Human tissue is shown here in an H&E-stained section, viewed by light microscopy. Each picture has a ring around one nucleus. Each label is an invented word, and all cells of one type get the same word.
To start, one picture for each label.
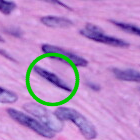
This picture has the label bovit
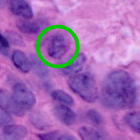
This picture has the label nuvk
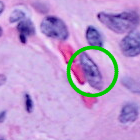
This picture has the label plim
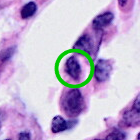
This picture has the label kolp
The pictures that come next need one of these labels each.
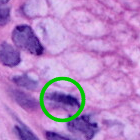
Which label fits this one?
nuvk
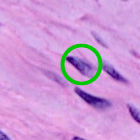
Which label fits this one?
bovit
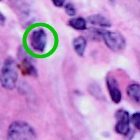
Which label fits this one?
kolp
